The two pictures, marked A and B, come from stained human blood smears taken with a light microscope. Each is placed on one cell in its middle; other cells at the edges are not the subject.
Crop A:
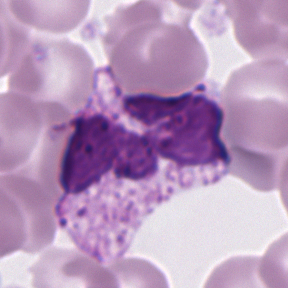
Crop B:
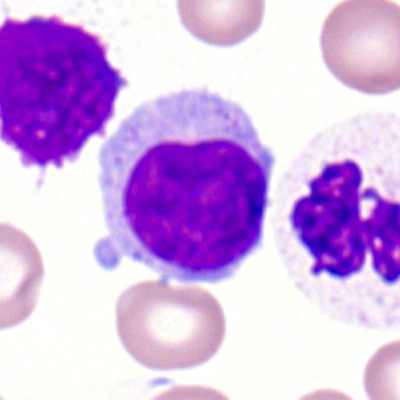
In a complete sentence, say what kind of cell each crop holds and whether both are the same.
No, crop A is to be identified as a basophil and crop B as a lymphocyte.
